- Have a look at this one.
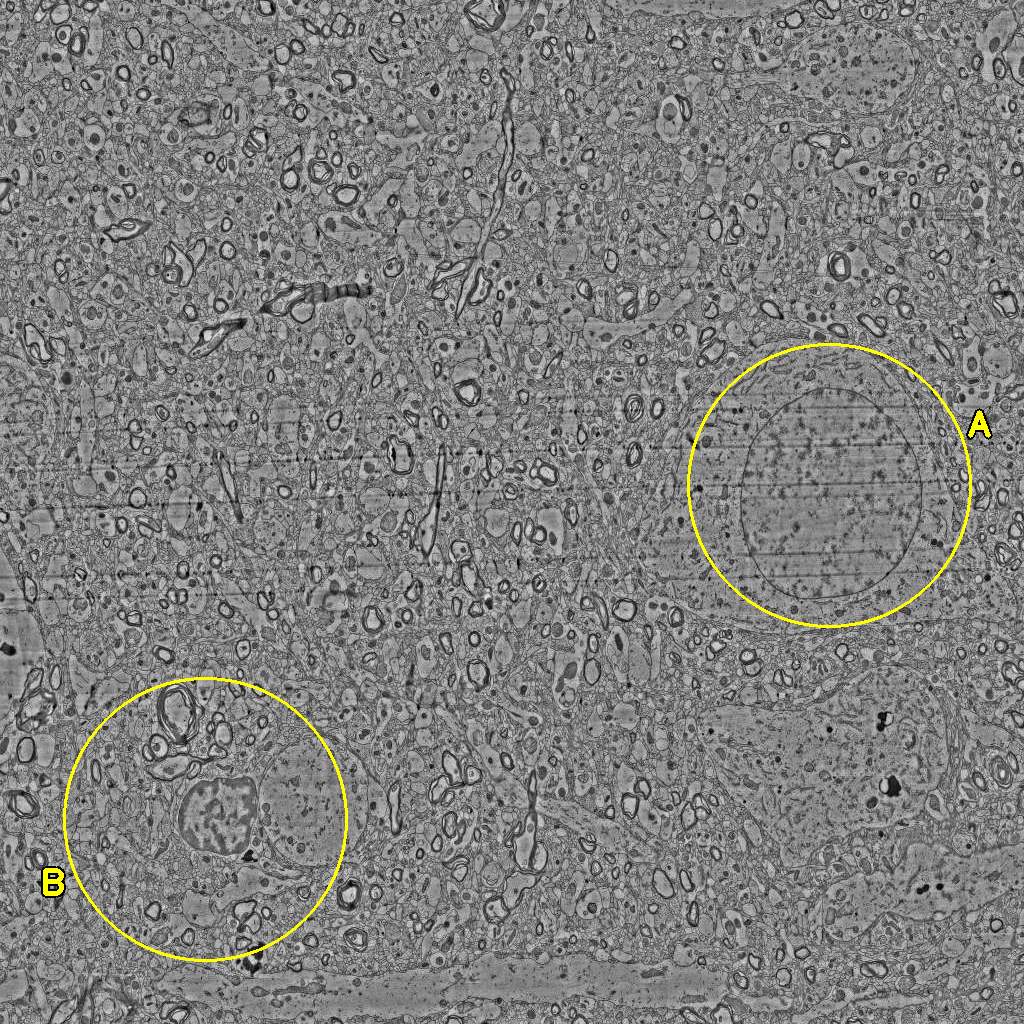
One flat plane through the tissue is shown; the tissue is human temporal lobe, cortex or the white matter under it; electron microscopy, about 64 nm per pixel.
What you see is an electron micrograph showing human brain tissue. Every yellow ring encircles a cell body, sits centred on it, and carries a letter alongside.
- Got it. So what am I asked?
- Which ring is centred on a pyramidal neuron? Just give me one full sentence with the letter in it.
The cell asked for sits in the centre of the ring lettered A.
